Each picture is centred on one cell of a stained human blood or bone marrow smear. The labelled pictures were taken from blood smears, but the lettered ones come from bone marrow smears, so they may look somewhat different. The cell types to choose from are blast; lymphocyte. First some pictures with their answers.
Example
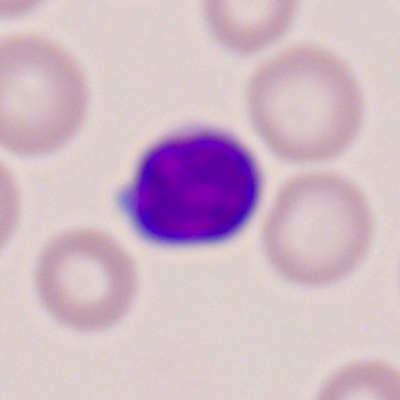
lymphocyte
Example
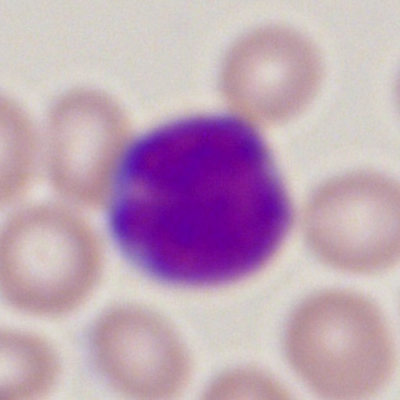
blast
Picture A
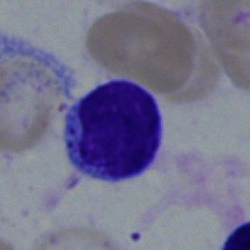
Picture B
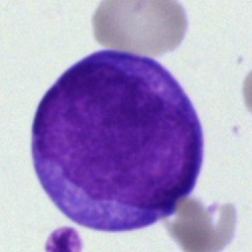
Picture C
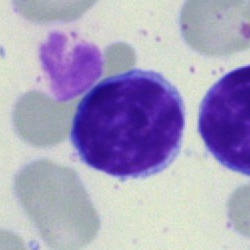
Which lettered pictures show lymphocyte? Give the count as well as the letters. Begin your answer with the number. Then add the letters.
2, namely A, C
